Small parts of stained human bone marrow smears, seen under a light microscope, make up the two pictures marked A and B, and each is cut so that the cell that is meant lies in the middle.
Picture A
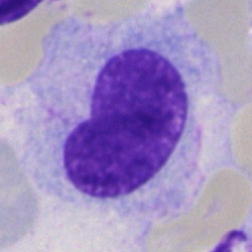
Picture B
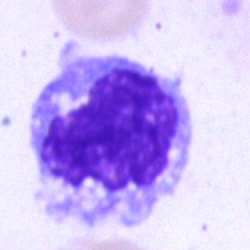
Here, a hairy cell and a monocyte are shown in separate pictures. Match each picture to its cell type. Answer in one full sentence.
Picture B shows a monocyte, while picture A shows a hairy cell.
